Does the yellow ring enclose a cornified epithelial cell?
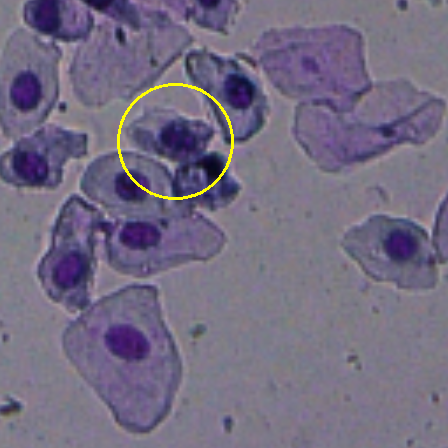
No. The ring encloses a nucleated epithelial cell.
